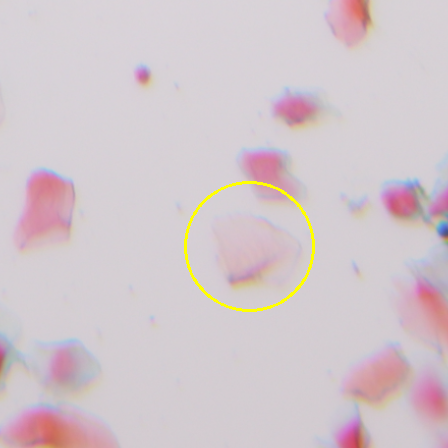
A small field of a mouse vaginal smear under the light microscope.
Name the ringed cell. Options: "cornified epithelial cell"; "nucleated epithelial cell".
cornified epithelial cell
